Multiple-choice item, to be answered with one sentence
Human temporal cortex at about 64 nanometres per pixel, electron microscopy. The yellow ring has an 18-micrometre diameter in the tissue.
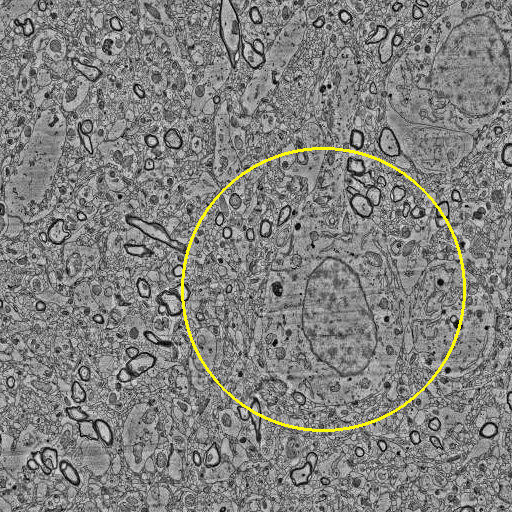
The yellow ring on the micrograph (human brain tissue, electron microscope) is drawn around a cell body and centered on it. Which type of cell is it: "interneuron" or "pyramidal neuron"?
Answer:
The ring is centered on a pyramidal neuron.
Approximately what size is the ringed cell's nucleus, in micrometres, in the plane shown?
Roughly 8 by 5 micrometres is the size of the nucleus in this plane.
